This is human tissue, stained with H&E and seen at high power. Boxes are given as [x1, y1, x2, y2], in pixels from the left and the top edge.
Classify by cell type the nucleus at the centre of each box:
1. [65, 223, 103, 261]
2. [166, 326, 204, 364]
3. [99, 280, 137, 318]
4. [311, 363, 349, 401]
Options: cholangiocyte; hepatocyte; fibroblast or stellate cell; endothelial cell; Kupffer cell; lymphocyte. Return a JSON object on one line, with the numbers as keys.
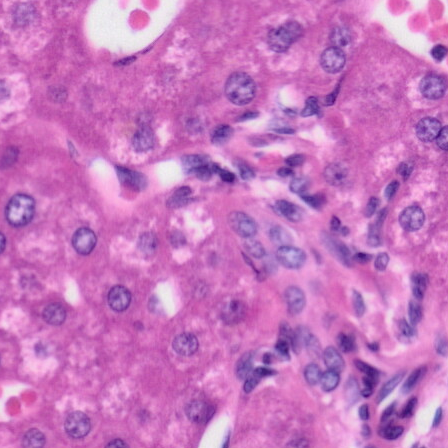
{"1": "hepatocyte", "2": "hepatocyte", "3": "hepatocyte", "4": "cholangiocyte"}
